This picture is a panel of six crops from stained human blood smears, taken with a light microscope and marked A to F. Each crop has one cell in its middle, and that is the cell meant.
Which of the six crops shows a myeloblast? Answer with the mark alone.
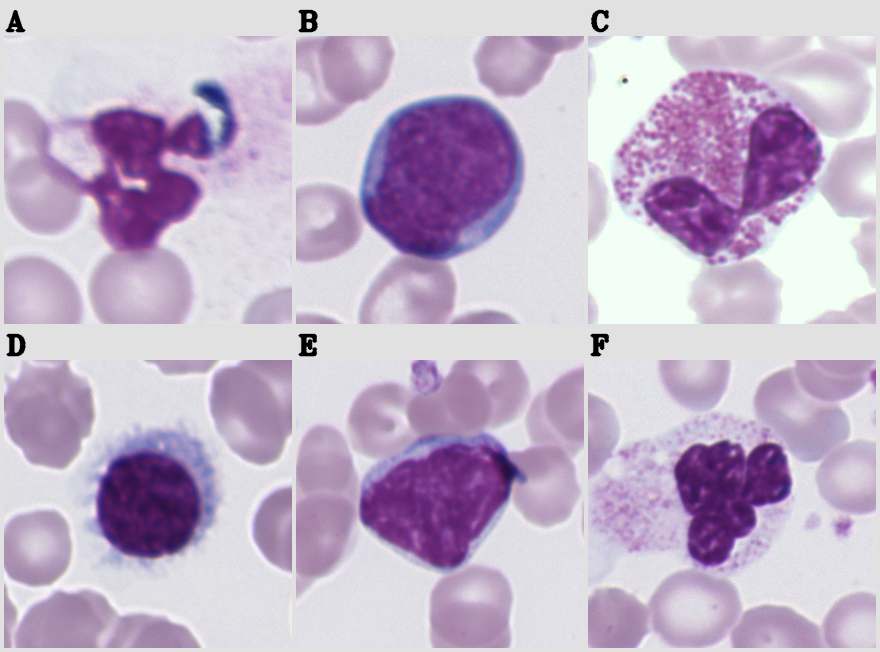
B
